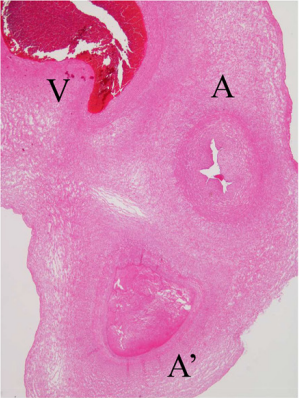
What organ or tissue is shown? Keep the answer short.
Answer: Umbilical cord.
